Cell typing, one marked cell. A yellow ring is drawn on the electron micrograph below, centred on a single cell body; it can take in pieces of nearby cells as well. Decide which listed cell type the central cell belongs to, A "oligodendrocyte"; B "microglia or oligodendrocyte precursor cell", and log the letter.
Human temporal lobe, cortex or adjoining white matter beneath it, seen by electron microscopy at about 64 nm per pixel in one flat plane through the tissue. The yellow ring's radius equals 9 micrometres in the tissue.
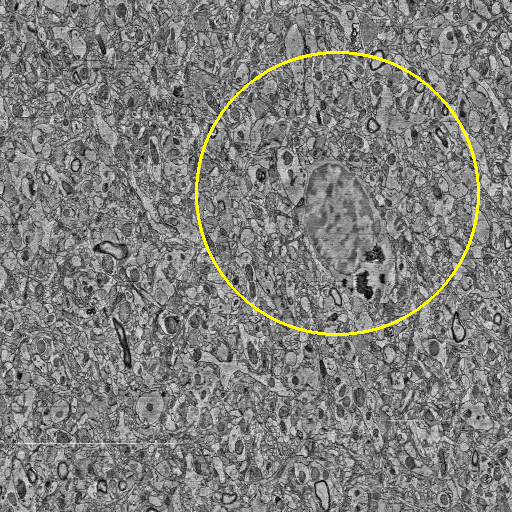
A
